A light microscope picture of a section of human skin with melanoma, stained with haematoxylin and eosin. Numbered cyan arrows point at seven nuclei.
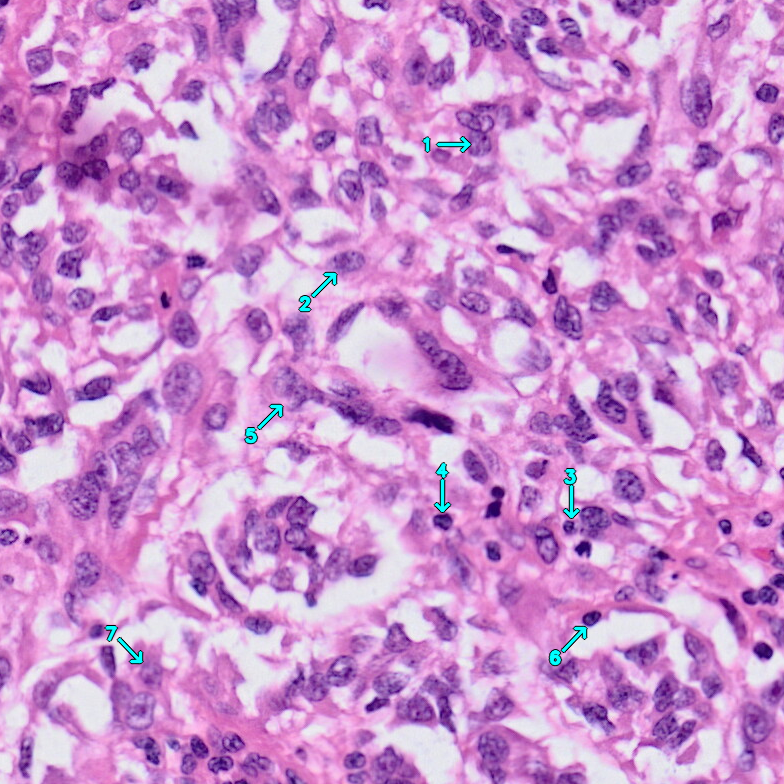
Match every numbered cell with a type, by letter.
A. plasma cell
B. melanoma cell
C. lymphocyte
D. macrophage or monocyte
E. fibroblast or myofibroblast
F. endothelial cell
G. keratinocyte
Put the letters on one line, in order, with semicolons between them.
B; B; C; C; B; C; B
